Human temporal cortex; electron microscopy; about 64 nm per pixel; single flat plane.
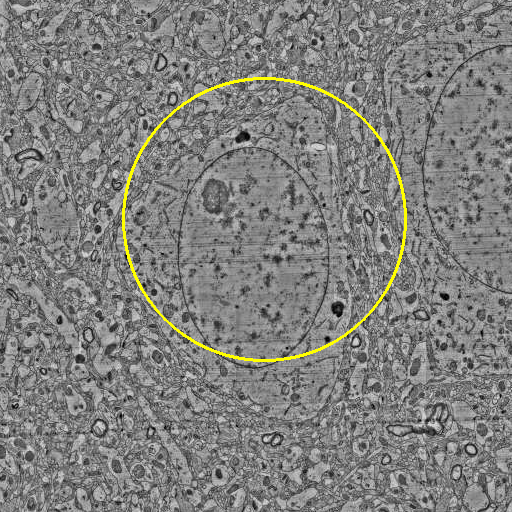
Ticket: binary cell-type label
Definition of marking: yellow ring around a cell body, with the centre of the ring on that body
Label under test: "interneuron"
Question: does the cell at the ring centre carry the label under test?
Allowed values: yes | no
no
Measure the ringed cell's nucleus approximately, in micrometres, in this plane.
Approximately 14 x 10 micrometres in this plane.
